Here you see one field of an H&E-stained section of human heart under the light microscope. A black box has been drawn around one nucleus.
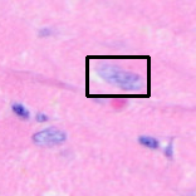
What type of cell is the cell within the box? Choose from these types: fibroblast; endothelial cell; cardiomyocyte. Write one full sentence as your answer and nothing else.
Microscopically, the cell within the box is categorized as a cardiomyocyte.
